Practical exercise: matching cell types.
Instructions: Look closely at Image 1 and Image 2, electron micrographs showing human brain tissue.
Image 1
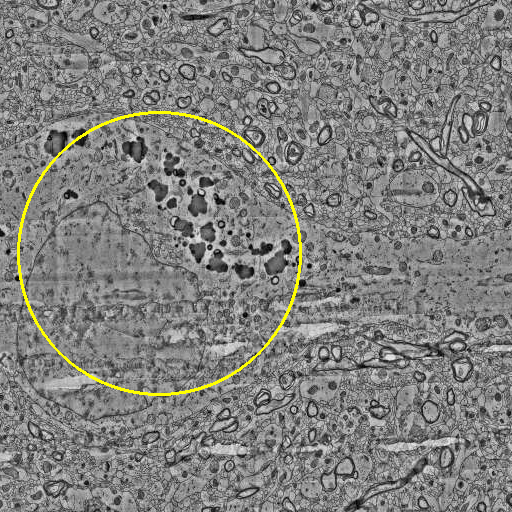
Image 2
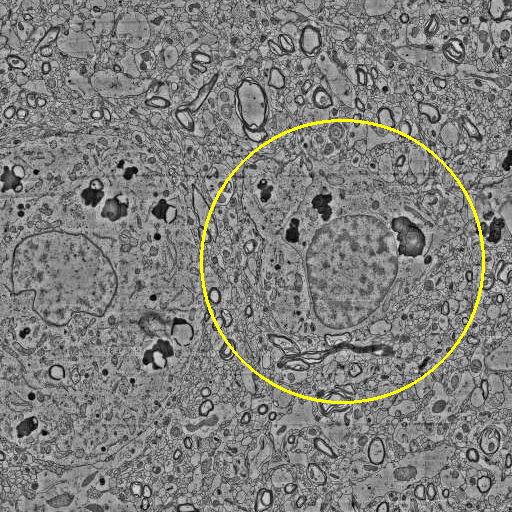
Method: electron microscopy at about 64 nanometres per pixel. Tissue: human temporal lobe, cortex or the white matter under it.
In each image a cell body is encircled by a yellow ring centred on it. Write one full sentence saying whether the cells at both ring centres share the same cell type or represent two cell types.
Across Image 1 and Image 2, the cells at the ring centres represent two cell types.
